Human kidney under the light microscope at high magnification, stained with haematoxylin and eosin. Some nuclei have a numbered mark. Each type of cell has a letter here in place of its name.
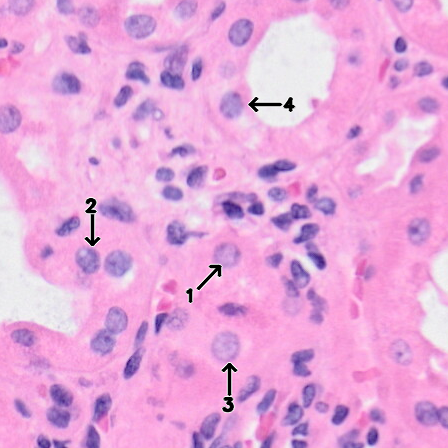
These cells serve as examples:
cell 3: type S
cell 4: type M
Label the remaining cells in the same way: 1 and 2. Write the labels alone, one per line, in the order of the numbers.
type S
type M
